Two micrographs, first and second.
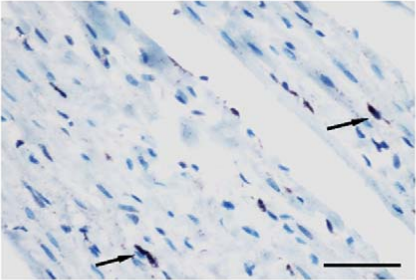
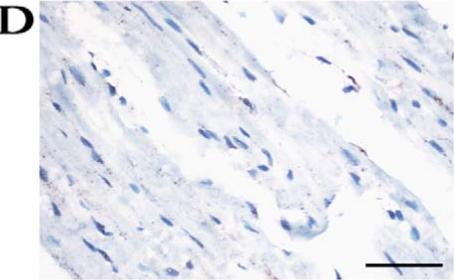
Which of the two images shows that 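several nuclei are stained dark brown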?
The first image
